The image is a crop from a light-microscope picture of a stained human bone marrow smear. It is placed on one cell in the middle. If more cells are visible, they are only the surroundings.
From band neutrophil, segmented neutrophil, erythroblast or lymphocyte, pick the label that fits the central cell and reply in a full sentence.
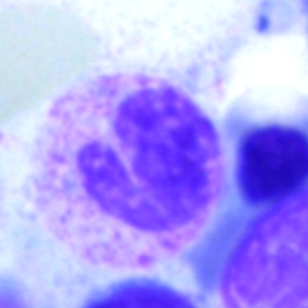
Where the crop is centred, there is a segmented neutrophil.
